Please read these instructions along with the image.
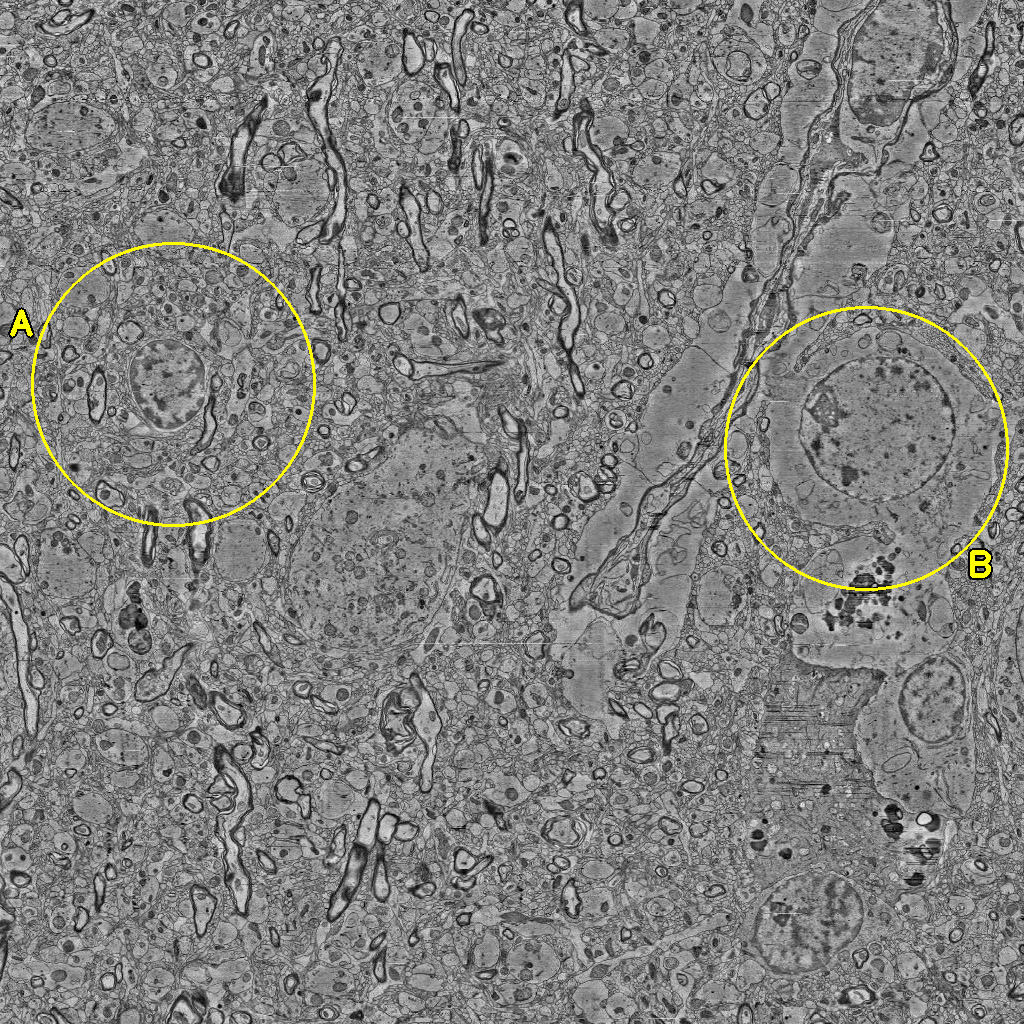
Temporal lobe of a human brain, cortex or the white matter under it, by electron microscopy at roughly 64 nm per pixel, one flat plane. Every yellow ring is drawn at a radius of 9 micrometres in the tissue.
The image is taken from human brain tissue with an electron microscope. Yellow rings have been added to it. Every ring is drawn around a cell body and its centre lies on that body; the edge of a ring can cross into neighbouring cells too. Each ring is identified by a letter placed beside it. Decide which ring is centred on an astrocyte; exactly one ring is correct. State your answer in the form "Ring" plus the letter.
Ring B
